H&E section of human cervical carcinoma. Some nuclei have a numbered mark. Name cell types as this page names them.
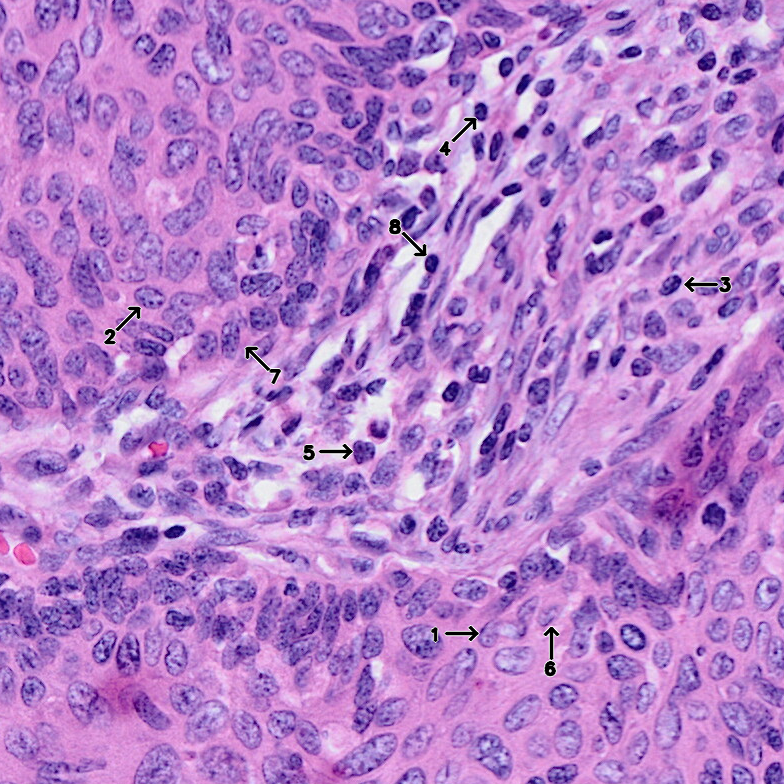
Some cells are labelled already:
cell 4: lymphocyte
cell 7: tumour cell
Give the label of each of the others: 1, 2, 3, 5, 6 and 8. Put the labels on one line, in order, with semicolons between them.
tumour cell; tumour cell; lymphocyte; lymphocyte; tumour cell; lymphocyte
